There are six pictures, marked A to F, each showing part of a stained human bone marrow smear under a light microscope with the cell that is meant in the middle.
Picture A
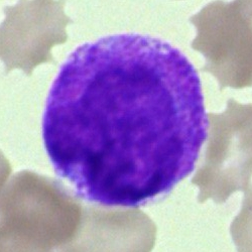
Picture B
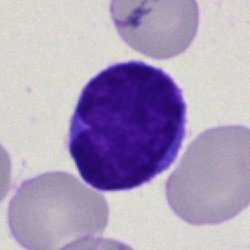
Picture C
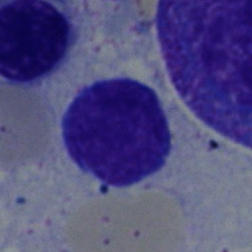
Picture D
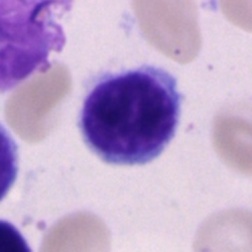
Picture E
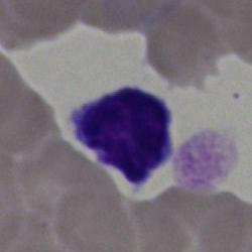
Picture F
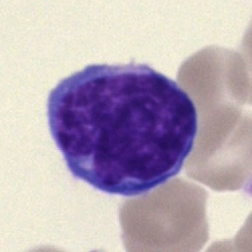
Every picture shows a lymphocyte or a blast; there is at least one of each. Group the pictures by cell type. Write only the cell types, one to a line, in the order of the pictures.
blast
lymphocyte
lymphocyte
lymphocyte
lymphocyte
blast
